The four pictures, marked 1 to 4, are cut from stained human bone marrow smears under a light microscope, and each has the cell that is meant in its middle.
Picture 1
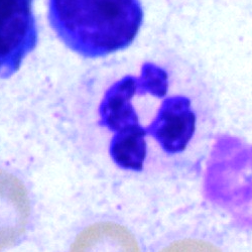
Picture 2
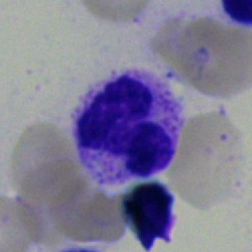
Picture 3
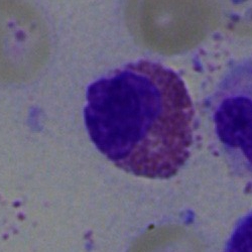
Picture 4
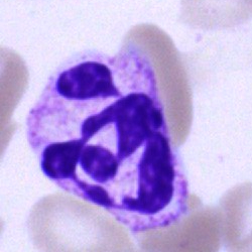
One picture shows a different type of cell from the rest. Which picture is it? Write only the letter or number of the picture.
3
